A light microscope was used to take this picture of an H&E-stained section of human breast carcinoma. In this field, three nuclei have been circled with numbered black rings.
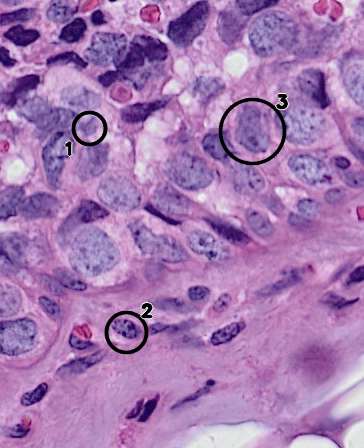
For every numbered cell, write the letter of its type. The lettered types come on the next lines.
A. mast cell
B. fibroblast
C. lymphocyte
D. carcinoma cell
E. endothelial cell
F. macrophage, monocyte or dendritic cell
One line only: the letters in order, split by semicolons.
D; A; D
